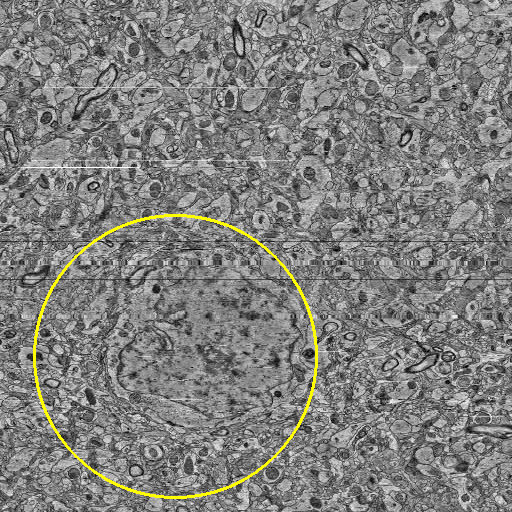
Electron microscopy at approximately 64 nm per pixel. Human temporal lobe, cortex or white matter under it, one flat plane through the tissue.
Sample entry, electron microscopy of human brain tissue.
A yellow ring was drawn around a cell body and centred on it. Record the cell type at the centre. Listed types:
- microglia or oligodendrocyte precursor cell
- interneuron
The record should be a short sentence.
The cell at the ring's centre is an interneuron.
